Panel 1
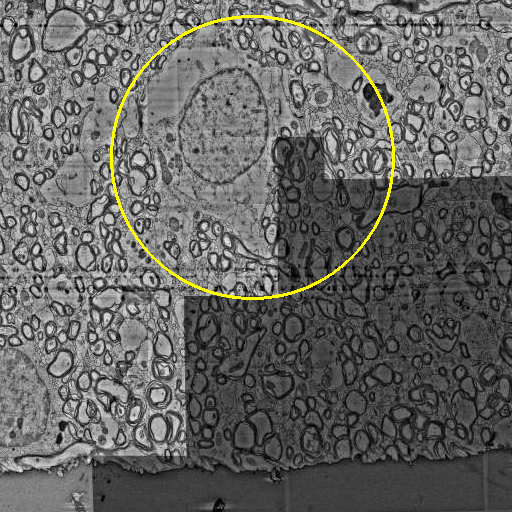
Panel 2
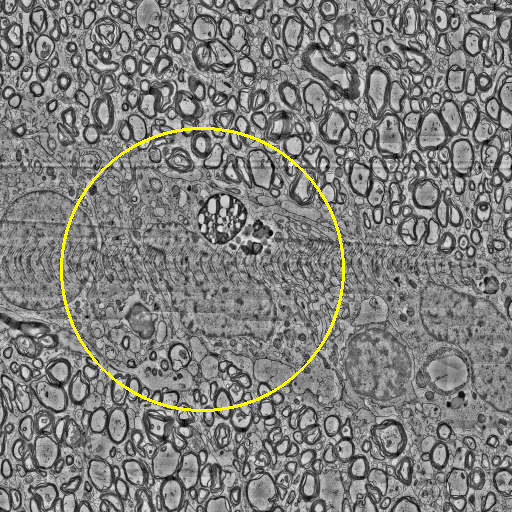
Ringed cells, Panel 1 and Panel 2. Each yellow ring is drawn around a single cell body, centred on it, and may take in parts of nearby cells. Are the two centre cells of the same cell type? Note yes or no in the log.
yes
